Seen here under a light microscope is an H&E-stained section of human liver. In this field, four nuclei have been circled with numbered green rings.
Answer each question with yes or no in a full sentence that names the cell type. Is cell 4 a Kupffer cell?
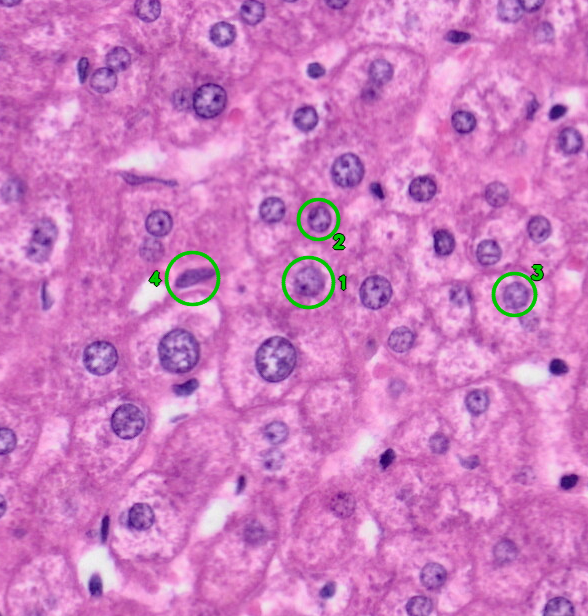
Yes, that is correct: the cell numbered 4 is a Kupffer cell.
